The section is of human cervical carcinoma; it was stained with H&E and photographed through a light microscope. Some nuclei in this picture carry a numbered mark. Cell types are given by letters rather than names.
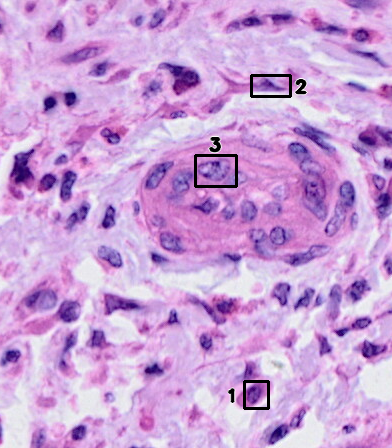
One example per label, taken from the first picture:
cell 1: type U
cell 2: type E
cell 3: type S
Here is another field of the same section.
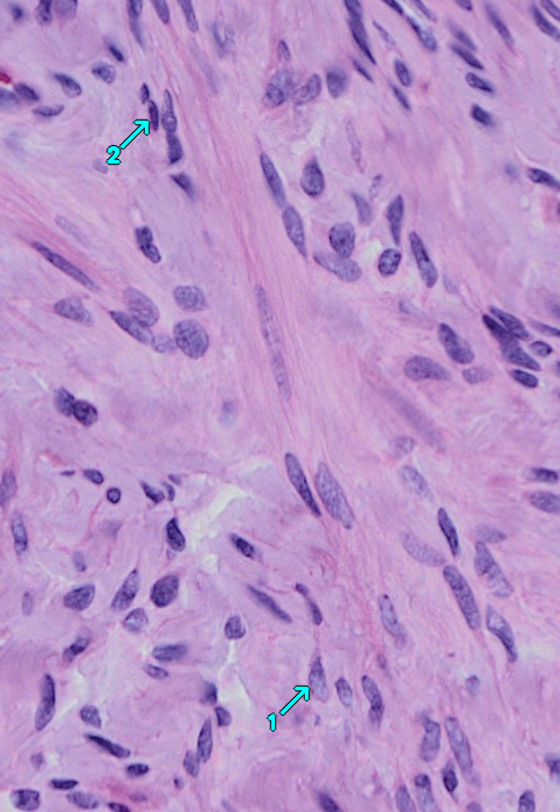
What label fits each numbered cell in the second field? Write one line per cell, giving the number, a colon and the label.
1: type S
2: type E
